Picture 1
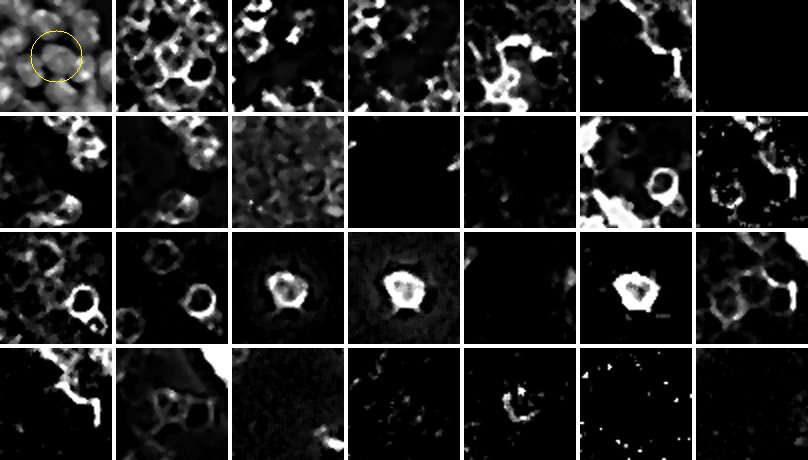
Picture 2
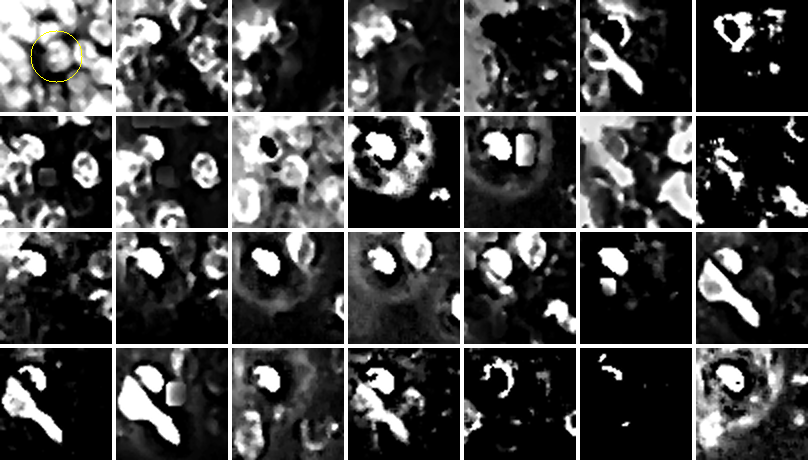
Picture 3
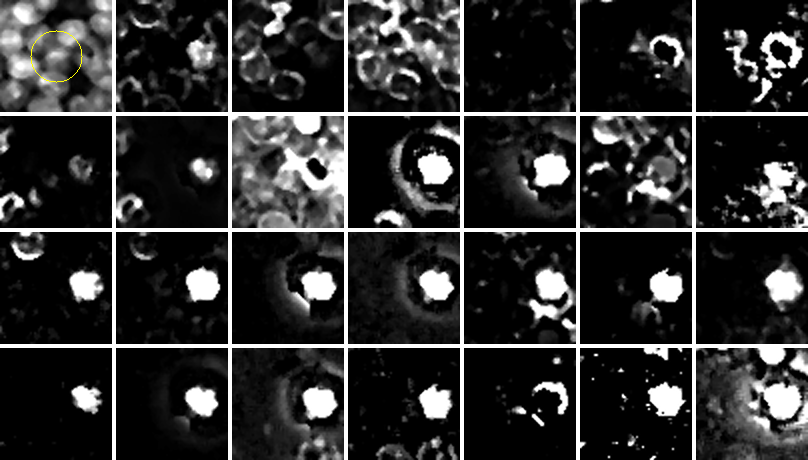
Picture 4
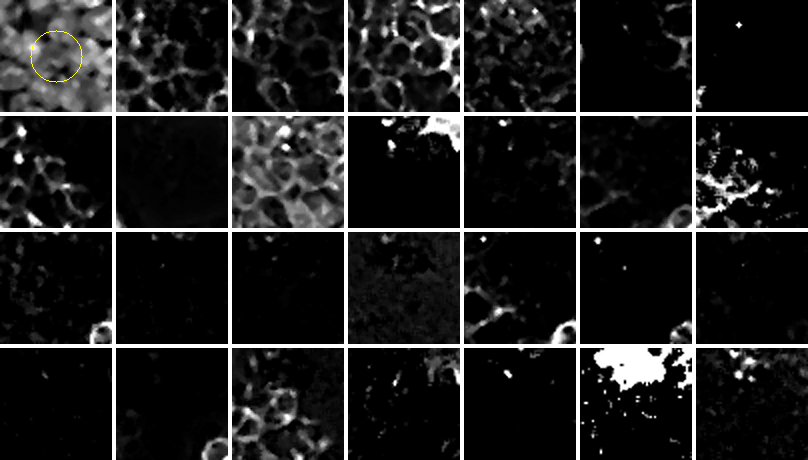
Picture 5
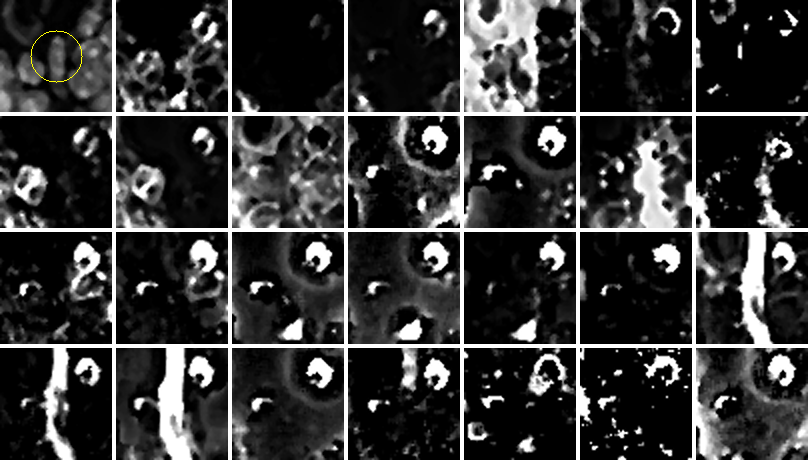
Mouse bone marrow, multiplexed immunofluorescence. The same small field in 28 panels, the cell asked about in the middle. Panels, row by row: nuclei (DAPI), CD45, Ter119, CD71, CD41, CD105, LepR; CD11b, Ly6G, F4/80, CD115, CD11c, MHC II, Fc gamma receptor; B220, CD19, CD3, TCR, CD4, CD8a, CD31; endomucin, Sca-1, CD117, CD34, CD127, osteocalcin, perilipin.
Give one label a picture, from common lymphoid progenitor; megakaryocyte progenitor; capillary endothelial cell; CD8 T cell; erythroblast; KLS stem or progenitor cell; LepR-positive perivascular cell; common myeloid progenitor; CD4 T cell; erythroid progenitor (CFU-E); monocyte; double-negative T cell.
(1) CD8 T cell
(2) KLS stem or progenitor cell
(3) LepR-positive perivascular cell
(4) erythroid progenitor (CFU-E)
(5) capillary endothelial cell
